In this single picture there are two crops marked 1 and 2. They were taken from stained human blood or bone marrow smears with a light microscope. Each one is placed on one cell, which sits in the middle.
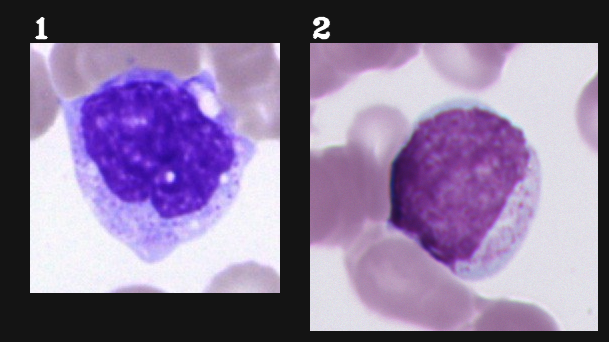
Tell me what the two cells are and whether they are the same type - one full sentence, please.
No, in crop 1 there is a monocyte, and in crop 2 there is a myelocyte.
